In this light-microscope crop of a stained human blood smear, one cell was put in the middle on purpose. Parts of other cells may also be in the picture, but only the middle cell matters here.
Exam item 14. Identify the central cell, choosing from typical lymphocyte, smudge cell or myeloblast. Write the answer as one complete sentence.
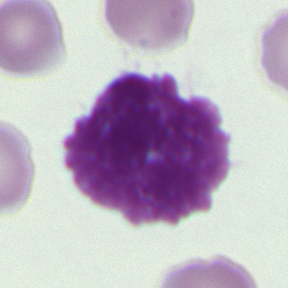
Standing at the centre of this crop is a smudge cell.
